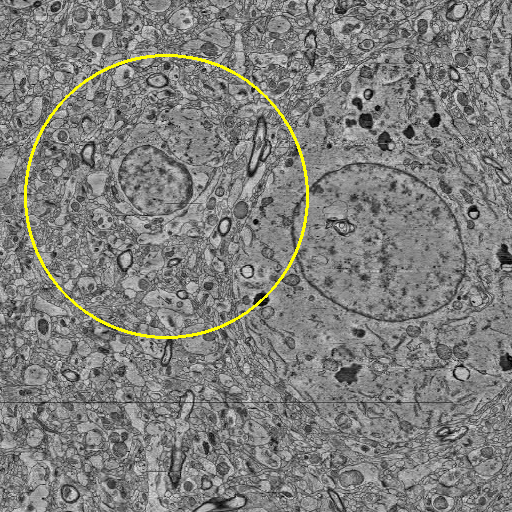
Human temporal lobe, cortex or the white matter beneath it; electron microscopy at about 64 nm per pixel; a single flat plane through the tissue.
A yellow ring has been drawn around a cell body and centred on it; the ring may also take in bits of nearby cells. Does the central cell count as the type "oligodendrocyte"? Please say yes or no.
no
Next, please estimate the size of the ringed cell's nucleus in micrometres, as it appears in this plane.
In this plane, the nucleus of the cell at the centre of the ring measures about 5 by 4 micrometres.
